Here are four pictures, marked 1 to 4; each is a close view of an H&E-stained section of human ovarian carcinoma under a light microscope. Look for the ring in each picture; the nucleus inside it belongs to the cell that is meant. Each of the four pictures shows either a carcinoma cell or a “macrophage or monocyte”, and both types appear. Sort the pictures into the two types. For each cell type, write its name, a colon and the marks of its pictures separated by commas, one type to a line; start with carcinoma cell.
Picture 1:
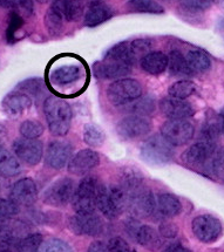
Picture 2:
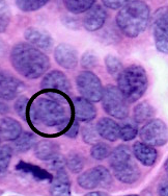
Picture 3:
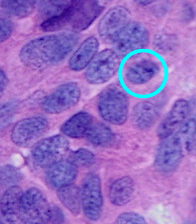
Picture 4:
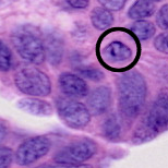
carcinoma cell: 2
macrophage or monocyte: 1, 3, 4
